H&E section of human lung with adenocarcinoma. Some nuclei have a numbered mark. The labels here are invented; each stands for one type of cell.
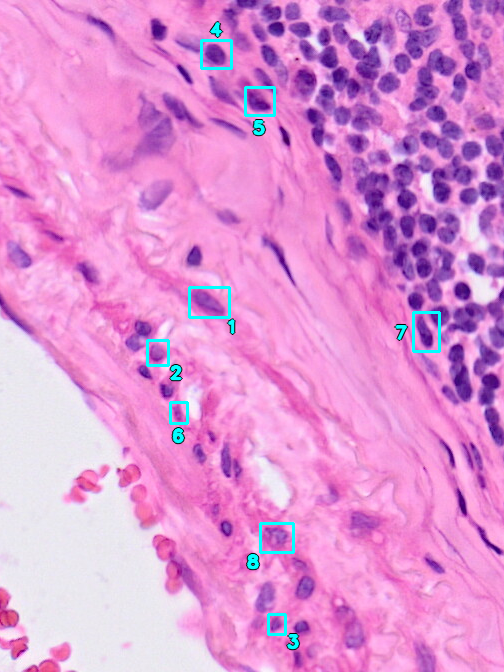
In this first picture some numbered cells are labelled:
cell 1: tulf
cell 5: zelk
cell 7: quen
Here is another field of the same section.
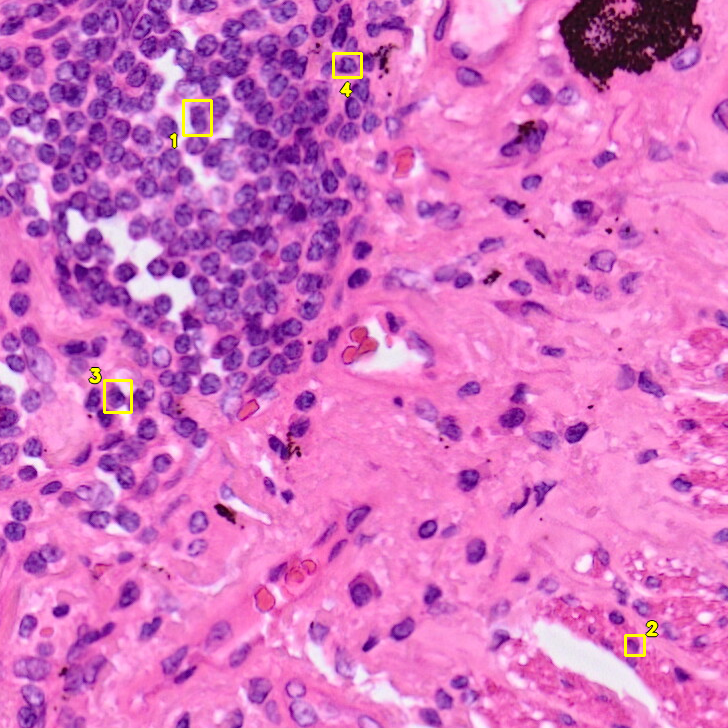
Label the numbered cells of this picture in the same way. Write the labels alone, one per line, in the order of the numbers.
quen
tulf
quen
quen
